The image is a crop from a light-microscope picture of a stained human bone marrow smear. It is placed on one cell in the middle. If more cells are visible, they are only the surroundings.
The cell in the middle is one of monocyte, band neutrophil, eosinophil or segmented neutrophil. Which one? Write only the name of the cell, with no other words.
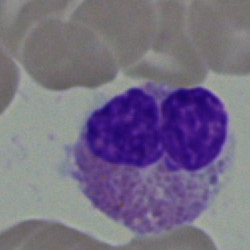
eosinophil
